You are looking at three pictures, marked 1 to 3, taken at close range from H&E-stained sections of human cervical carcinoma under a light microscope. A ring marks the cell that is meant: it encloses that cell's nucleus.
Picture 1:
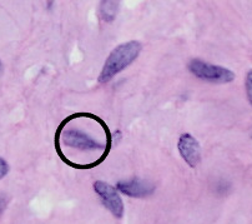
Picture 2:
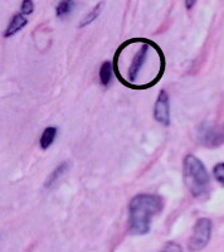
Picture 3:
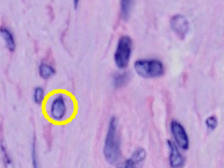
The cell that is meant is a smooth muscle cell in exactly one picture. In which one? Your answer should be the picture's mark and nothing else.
3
